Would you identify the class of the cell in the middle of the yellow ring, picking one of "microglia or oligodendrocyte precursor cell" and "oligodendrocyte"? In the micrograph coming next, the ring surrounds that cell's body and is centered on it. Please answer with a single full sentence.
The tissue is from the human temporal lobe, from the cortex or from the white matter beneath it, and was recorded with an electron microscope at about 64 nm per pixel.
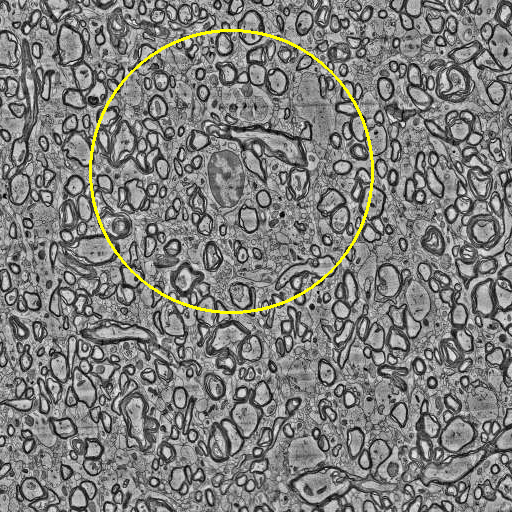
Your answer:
In the micrograph, it is a microglial cell or oligodendrocyte precursor cell whose body lies at the ring's center.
